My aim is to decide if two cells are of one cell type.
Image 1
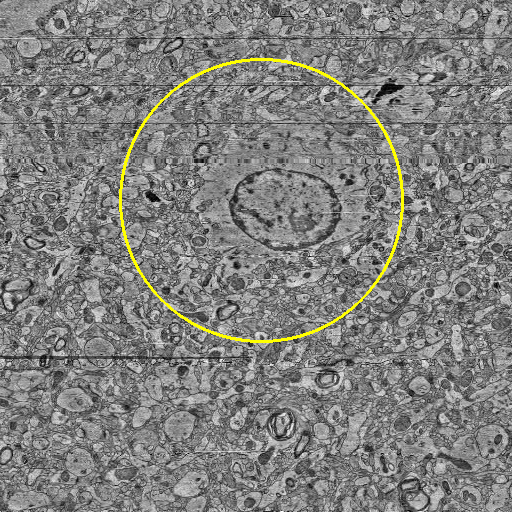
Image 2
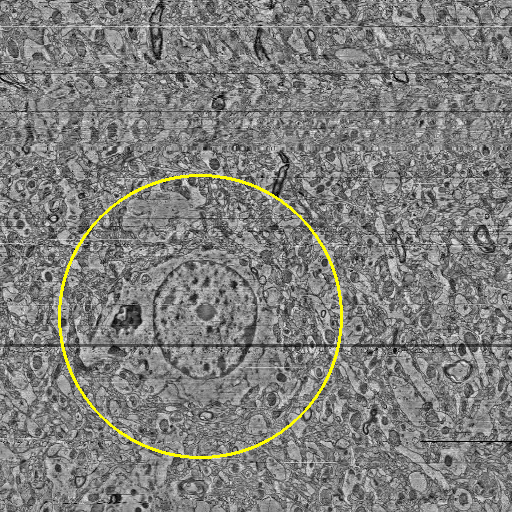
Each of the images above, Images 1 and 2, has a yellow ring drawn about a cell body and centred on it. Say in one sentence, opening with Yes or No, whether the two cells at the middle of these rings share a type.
Yes, in Images 1 and 2 the cells at the middle of the rings share one type.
